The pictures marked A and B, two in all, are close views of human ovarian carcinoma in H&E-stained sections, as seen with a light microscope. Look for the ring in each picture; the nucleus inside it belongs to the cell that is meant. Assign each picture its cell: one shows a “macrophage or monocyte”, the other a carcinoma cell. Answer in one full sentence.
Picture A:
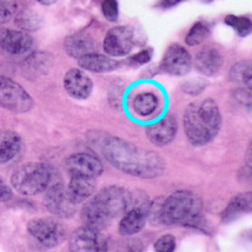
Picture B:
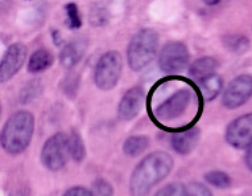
In picture A the cell is a “macrophage or monocyte”; in picture B, a carcinoma cell.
